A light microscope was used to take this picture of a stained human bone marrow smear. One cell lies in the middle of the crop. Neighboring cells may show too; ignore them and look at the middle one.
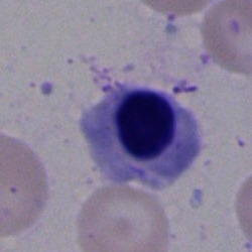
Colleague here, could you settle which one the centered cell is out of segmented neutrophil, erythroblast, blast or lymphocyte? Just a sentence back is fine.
Whatever else lies nearby, the middle cell is an erythroblast.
